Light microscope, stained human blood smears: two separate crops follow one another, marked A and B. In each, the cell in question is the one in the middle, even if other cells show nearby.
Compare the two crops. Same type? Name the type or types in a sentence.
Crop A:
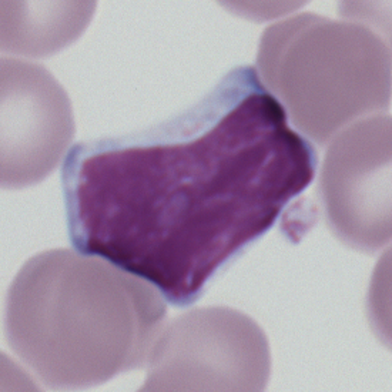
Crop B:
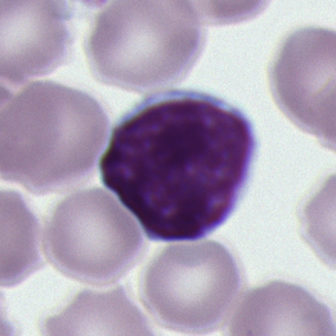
Yes, both crops here show typical lymphocytes, the pair of them.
